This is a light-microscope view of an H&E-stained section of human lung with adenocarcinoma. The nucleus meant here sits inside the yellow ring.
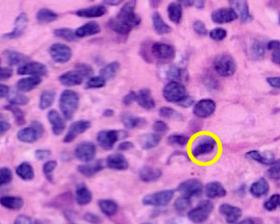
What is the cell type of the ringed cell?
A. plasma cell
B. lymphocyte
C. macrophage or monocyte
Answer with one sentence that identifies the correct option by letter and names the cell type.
It is as option A has it, the ringed cell being a plasma cell.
